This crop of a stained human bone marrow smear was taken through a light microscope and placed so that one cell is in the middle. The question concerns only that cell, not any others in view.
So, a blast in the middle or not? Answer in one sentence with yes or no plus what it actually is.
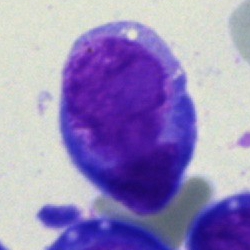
Yes, the middle cell in this crop is a blast.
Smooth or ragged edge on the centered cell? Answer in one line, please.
Its periphery is smooth, and no projections arise from it.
